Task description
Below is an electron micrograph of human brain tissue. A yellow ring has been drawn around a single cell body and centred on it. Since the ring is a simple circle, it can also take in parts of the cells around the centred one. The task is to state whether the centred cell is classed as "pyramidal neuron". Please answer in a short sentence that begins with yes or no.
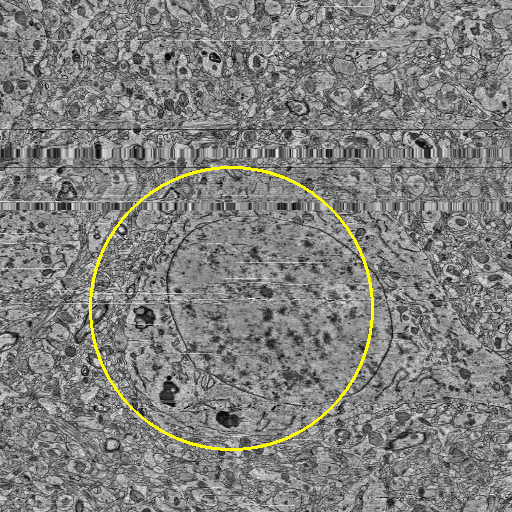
Yes, the centred cell is classed that way.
